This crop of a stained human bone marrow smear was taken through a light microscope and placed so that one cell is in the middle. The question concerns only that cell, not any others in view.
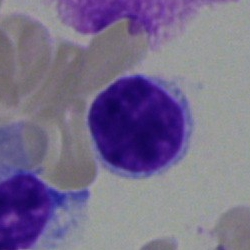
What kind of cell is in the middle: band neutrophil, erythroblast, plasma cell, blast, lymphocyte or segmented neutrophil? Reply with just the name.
lymphocyte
